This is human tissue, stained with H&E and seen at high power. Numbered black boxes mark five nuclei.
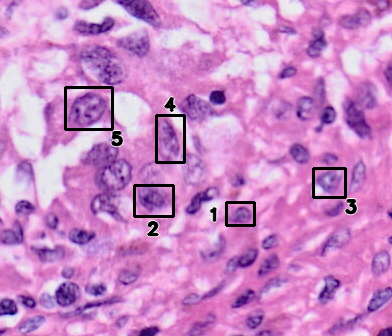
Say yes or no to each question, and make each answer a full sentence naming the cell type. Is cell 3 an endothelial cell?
Yes, the cell identified as number 3 is an endothelial cell.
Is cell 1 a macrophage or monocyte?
Yes, number 1 corresponds to a macrophage or monocyte.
